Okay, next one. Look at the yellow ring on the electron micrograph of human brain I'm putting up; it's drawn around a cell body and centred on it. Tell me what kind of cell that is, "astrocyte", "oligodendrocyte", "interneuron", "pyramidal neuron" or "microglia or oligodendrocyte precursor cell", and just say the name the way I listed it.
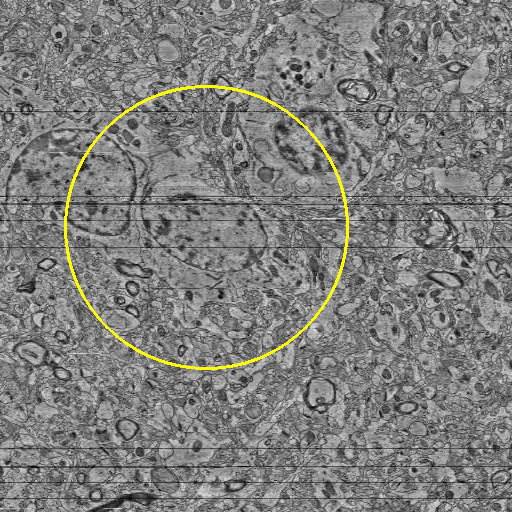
astrocyte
